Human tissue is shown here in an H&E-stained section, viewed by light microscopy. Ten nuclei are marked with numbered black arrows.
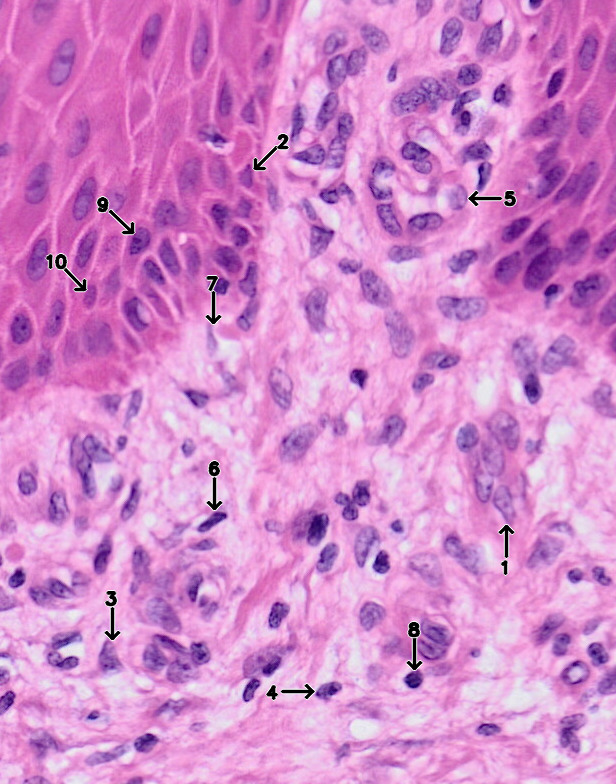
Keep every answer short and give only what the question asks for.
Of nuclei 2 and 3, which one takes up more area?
3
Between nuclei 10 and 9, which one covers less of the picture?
10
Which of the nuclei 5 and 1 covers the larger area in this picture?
1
